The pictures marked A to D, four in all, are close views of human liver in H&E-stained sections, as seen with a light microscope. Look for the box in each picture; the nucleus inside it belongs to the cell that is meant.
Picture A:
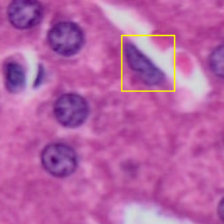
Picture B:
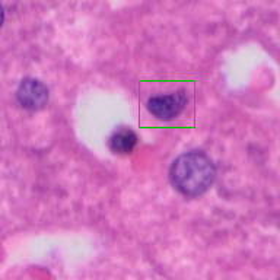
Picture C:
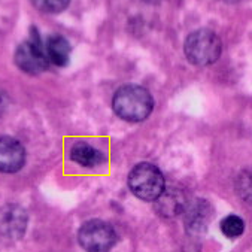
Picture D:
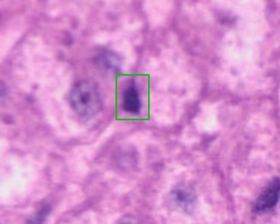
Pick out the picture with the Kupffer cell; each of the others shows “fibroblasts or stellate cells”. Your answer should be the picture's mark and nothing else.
A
